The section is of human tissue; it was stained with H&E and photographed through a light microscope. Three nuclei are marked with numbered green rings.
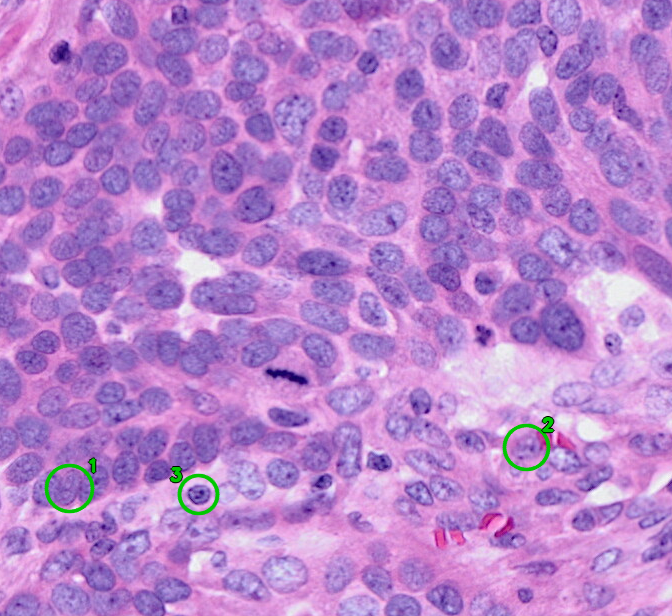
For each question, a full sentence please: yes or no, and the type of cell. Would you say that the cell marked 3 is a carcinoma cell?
No, what is marked as number 3 is a lymphocyte rather than a carcinoma cell.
